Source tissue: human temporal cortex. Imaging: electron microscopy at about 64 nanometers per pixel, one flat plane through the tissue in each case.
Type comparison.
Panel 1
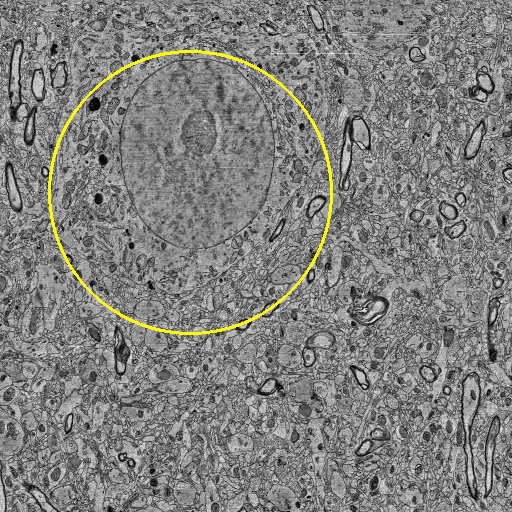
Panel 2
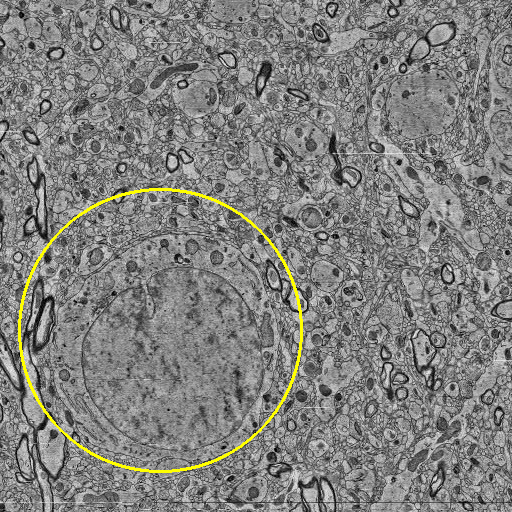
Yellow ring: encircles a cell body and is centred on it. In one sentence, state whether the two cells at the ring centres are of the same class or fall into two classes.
In these panels, the two cells at the ring centres are of the same class.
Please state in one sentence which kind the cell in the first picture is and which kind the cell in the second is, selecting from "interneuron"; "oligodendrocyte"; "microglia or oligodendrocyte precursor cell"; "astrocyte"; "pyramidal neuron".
Both rings mark an interneuron, one in each picture.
